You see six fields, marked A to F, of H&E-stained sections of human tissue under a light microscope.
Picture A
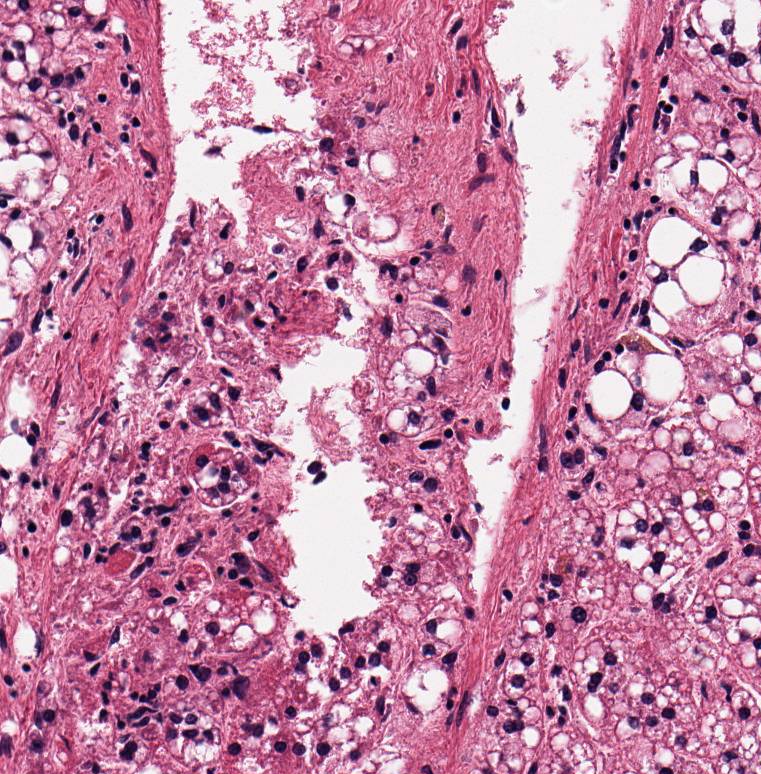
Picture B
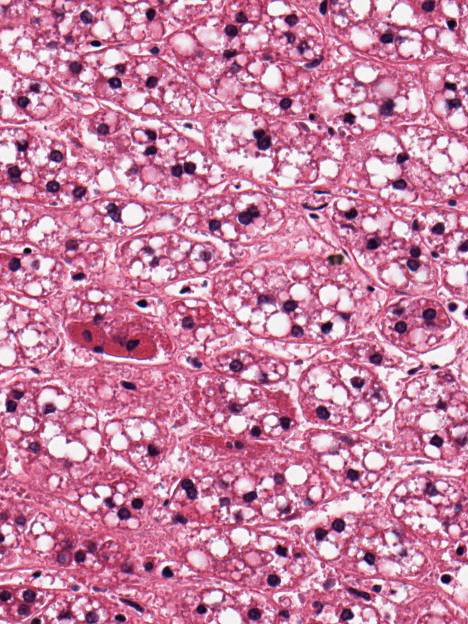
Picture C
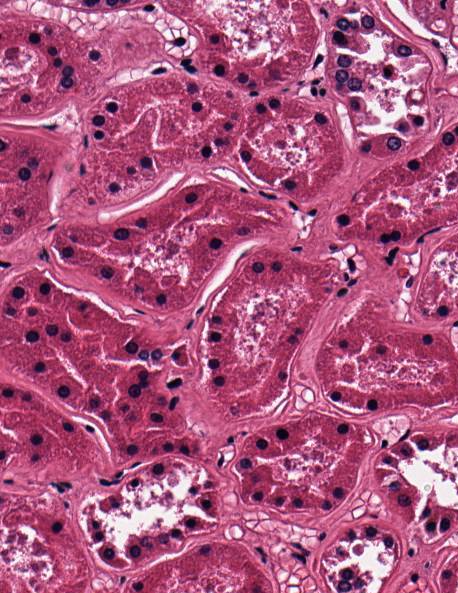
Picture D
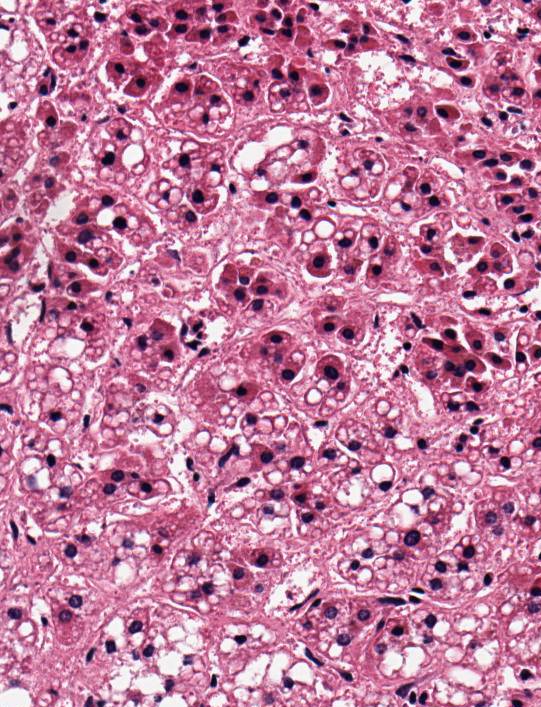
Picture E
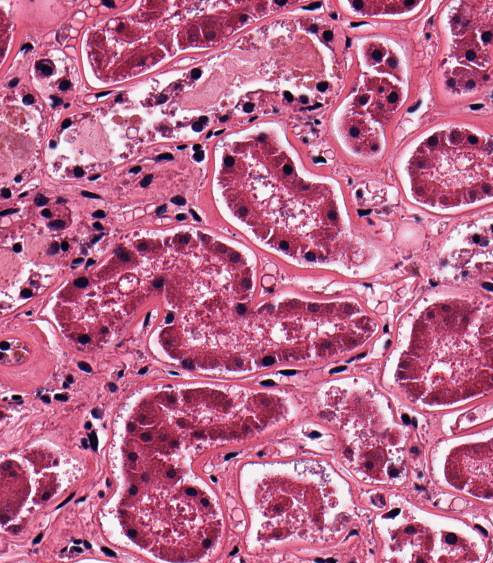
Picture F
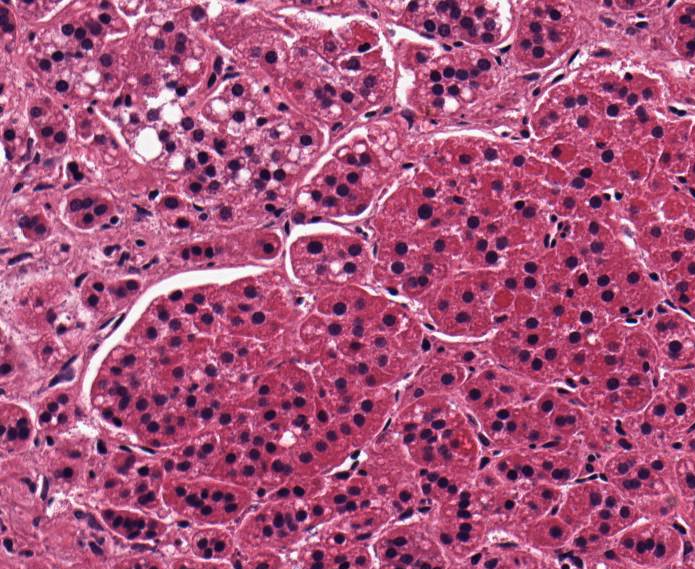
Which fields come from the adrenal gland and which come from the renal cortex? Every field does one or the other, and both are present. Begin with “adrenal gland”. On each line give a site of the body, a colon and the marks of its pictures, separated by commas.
adrenal gland: A, B, D, F
renal cortex: C, E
